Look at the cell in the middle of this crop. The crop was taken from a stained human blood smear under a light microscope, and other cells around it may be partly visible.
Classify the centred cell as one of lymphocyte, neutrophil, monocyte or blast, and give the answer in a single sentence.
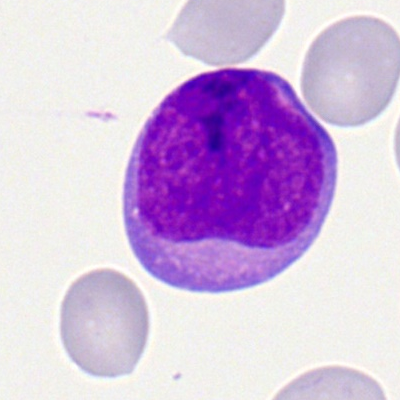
At the center of the crop sits a blast.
